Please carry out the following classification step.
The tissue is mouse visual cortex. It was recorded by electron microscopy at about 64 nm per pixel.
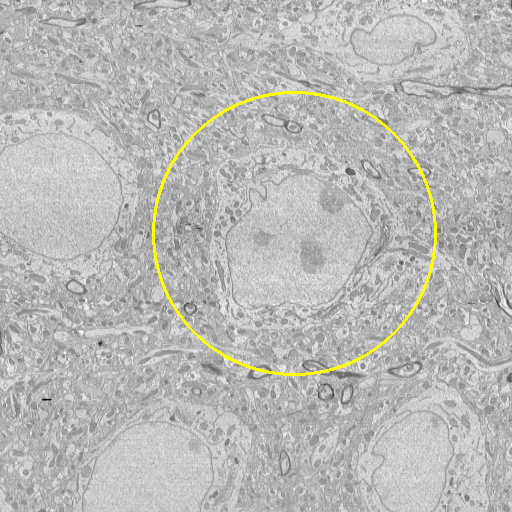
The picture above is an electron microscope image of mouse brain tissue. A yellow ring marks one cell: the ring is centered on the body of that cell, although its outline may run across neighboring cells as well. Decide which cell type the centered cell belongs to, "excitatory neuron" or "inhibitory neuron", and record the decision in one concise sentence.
The cell centered in the yellow ring is an inhibitory neuron.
